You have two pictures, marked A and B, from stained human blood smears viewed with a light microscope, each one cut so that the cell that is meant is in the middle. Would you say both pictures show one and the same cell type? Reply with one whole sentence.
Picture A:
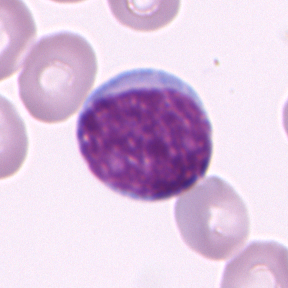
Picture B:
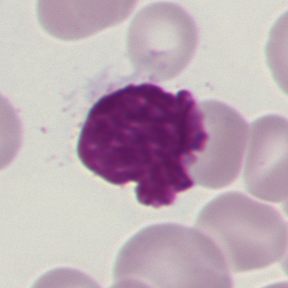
No, the types are not the same, since picture A shows a myeloblast and picture B a smudge cell.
